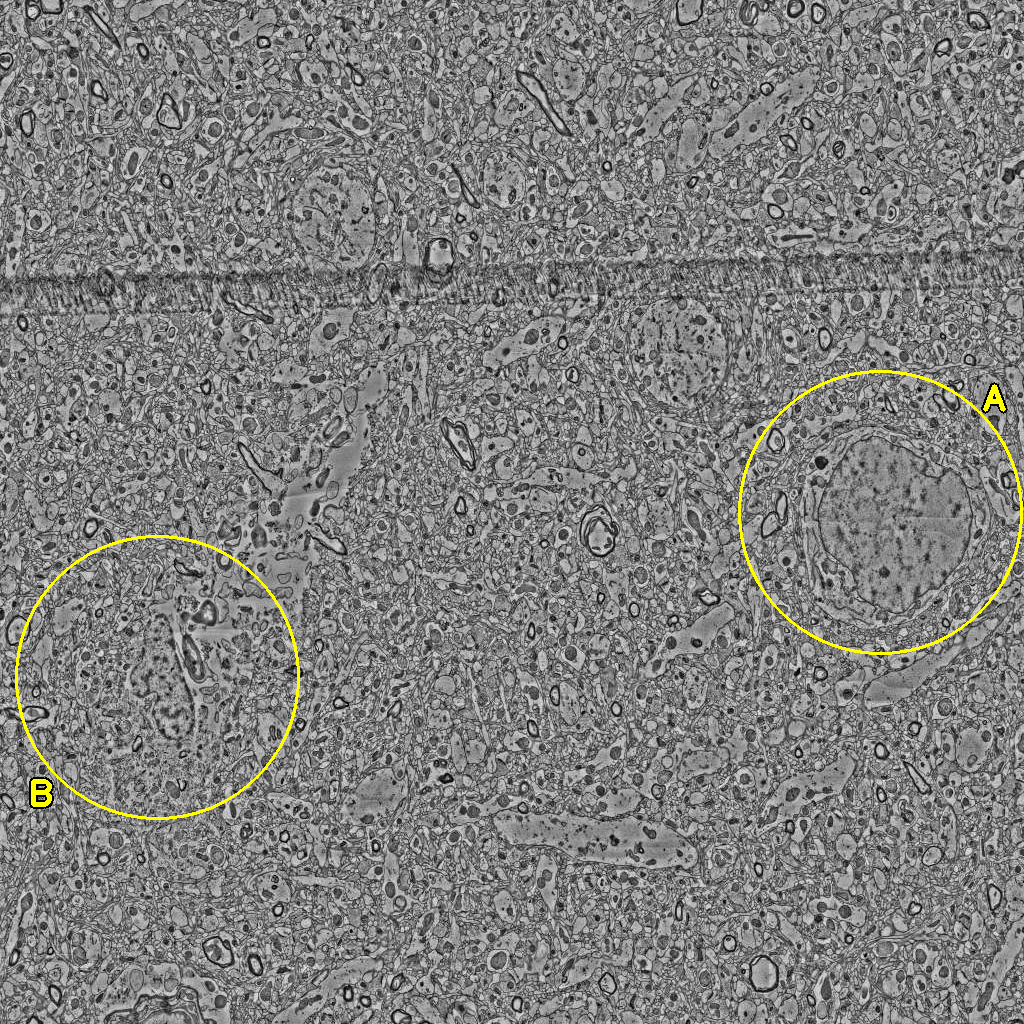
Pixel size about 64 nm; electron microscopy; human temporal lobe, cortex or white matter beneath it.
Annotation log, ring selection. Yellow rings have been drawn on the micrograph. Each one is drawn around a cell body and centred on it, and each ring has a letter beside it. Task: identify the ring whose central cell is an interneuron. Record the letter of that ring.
A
